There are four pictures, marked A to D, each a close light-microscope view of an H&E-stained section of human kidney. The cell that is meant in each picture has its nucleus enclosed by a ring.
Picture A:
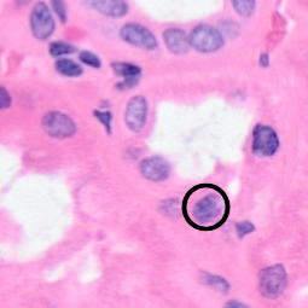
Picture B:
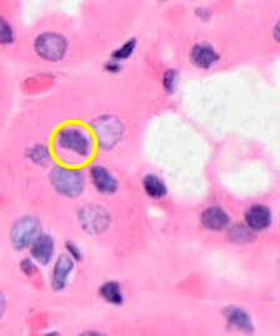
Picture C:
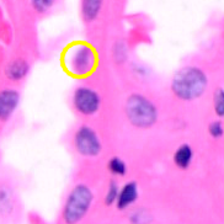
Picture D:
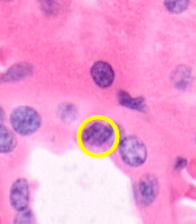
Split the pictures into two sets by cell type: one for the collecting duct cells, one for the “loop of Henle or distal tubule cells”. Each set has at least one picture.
A: loop of Henle or distal tubule cell
B: loop of Henle or distal tubule cell
C: loop of Henle or distal tubule cell
D: collecting duct cell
